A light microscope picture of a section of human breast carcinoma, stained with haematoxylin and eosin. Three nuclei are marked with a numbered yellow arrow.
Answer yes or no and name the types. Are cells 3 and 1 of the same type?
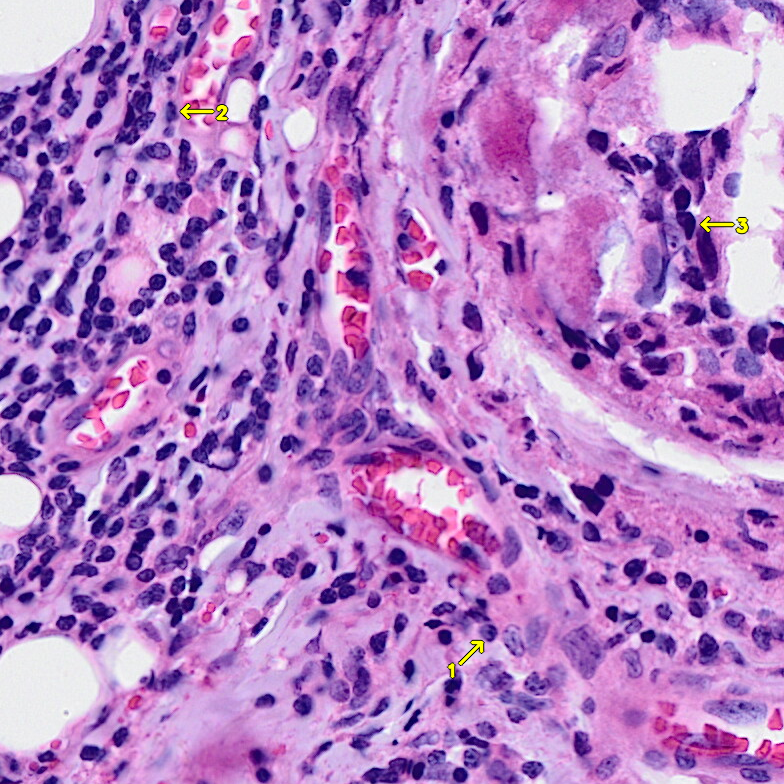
No, the cell labelled 3 is a carcinoma cell; the cell labelled 1 is a lymphocyte.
